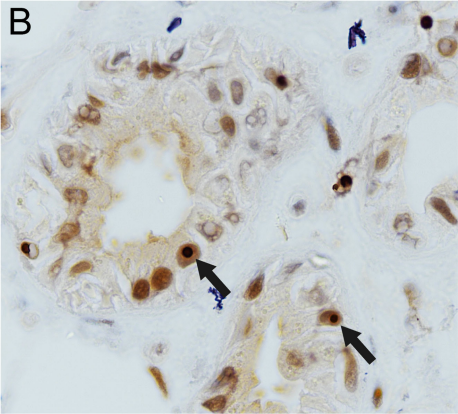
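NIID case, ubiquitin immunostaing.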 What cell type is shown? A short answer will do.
sweat gland cells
